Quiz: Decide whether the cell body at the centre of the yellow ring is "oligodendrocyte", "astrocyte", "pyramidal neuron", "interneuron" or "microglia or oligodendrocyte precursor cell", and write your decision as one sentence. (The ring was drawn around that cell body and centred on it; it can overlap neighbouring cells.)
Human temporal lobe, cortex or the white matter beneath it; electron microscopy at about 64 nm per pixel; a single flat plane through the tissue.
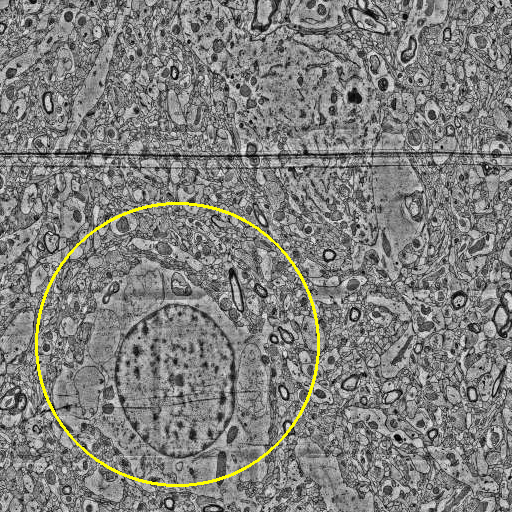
The cell the ring is centred on is an astrocyte.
